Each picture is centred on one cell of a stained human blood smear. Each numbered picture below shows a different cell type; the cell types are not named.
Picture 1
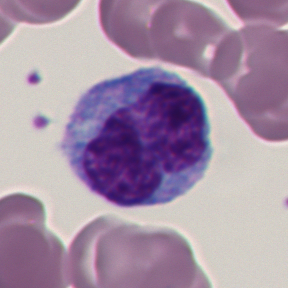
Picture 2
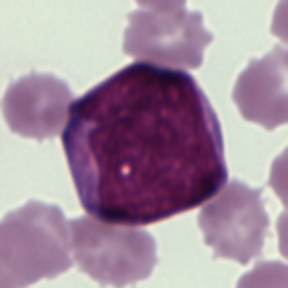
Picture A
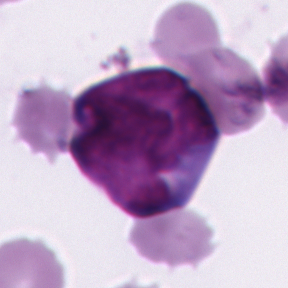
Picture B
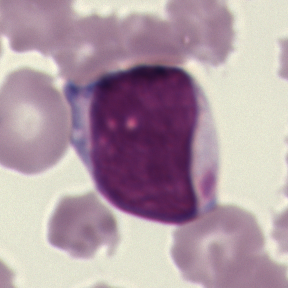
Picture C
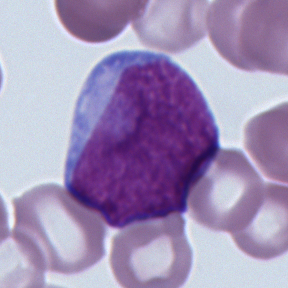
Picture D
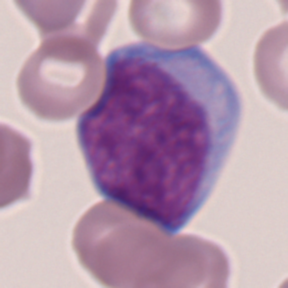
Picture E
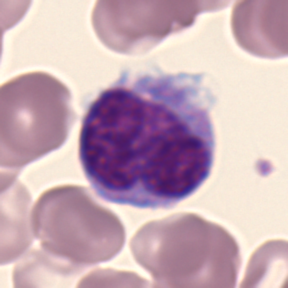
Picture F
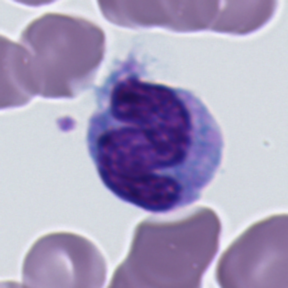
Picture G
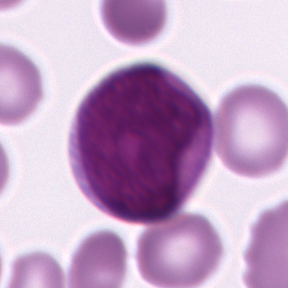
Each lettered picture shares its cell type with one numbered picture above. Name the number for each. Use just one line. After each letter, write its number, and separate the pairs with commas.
A 2, B 2, C 2, D 2, E 1, F 1, G 2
